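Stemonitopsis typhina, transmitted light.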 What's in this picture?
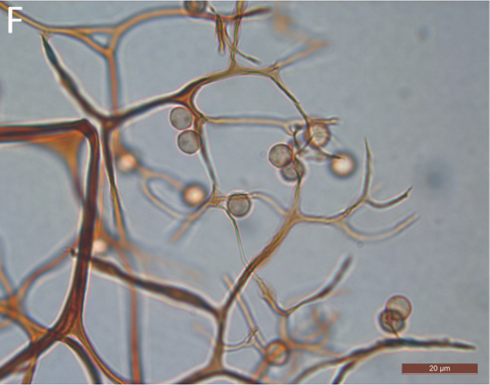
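This view shows spores of a slime mould lying among the branching threads of the sporotheca. The spores are small, round and pale brown, some single and some in pairs, with a thin clear rim. The threads are brown, smooth and branch repeatedly, thicker ones darker and the fine ends tapering to points. The threads join one another to form an open net, with spores caught between the branches.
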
